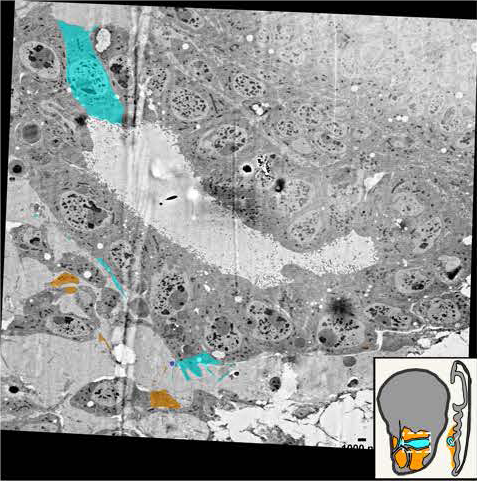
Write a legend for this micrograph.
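This electron micrograph shows an epithelial sac surrounded by loosely arranged cells. A large, pale, curved lumen filled with fine, finely textured material occupies the middle. Closely packed epithelial cells with large rounded nuclei and darker, granular chromatin line the lumen and fill the upper right of the field. One elongated cell at the upper left is highlighted cyan, and thin cyan processes appear near the lower edge of the epithelium. Below the epithelium lie more loosely spaced cells, some with thin extensions highlighted orange. Pale, vacuolated tissue is visible at the bottom right.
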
